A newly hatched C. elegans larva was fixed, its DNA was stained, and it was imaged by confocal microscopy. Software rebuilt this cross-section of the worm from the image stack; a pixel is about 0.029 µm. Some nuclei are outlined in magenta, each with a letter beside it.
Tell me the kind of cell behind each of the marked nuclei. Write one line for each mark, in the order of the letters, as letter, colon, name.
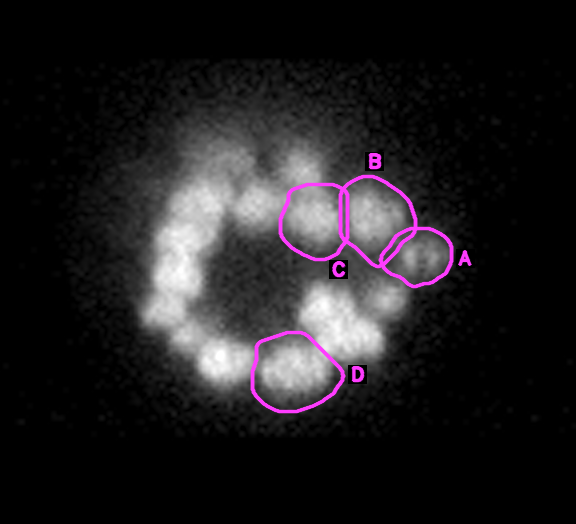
A: hypodermal cell (hyp)
B: neuron
C: neuron
D: neuron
